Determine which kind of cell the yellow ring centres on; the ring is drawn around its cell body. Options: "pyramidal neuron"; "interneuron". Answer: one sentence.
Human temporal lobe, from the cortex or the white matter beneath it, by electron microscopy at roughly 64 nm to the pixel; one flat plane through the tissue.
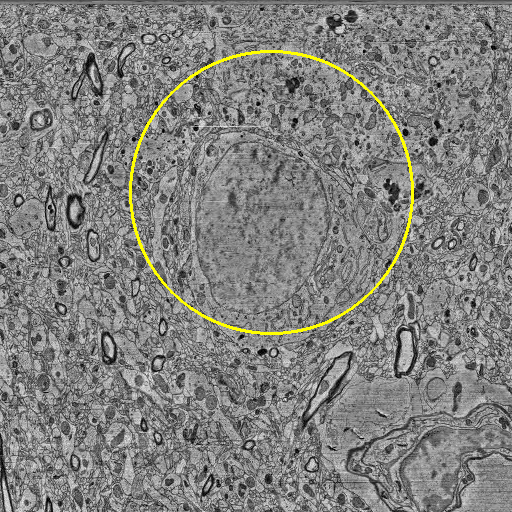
The ring centres on an interneuron.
